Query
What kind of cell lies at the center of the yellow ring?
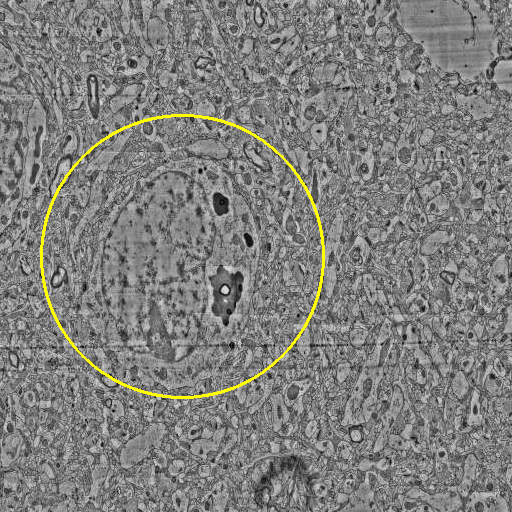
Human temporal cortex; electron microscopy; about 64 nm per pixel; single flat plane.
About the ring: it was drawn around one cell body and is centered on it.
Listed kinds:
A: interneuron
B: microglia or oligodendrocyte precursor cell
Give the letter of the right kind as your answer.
A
